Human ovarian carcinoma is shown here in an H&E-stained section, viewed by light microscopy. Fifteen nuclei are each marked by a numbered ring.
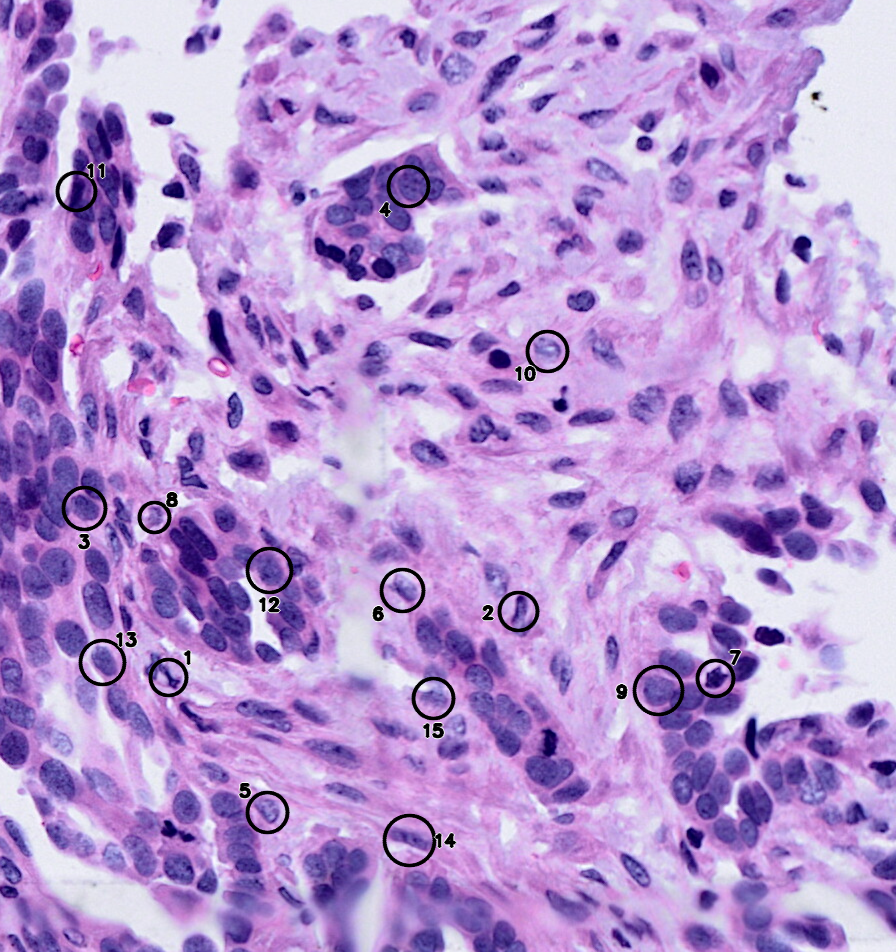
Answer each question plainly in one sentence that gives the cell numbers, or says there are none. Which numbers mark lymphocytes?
There is just one numbered cell that is a lymphocyte, and it is cell 7.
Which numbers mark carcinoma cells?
The cells numbered 3, 4, 9, 11, 12 and 13 are of one kind: carcinoma cells.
